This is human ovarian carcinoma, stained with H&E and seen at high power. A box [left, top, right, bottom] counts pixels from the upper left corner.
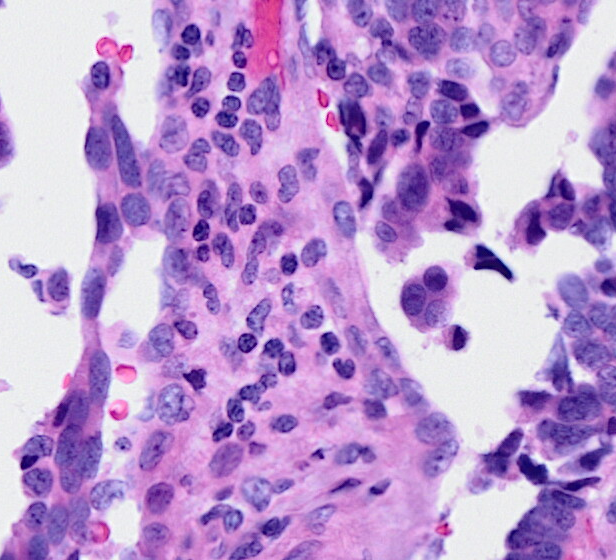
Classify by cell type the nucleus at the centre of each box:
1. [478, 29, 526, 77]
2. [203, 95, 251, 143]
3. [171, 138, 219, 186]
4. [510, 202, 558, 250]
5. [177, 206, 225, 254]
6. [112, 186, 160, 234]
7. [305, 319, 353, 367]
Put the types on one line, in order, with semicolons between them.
carcinoma cell; lymphocyte; macrophage or monocyte; carcinoma cell; lymphocyte; carcinoma cell; lymphocyte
